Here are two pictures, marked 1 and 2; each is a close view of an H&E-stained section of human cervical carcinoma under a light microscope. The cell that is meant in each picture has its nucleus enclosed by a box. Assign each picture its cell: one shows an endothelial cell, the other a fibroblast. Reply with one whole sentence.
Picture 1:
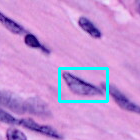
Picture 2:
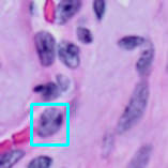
In picture 1 the cell is a fibroblast; in picture 2, an endothelial cell.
